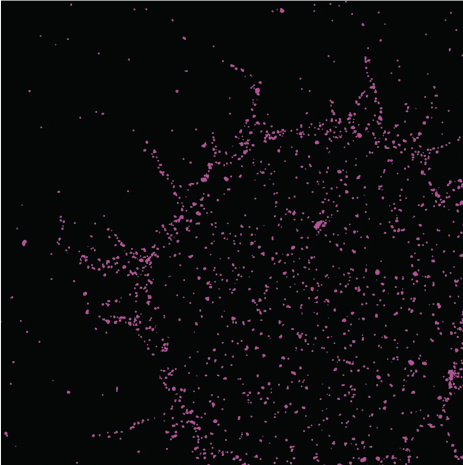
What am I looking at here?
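Flattened footprint of a single cell with many thin protrusions radiating from its edge. Magenta signal is made up of small, fine puncta spread fairly evenly over the cell body and along the protrusions, with few larger aggregates.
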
